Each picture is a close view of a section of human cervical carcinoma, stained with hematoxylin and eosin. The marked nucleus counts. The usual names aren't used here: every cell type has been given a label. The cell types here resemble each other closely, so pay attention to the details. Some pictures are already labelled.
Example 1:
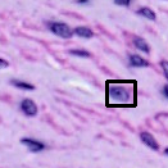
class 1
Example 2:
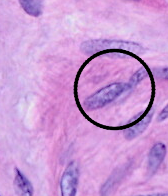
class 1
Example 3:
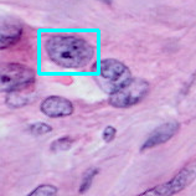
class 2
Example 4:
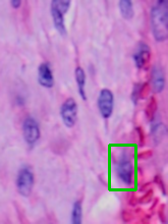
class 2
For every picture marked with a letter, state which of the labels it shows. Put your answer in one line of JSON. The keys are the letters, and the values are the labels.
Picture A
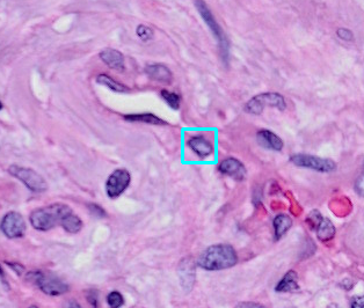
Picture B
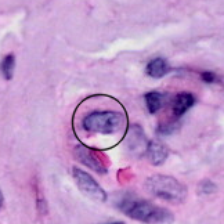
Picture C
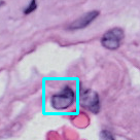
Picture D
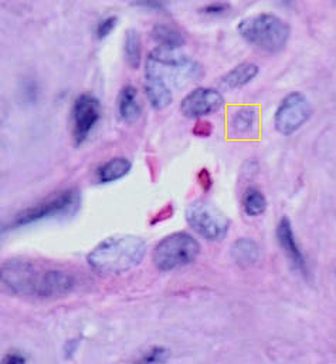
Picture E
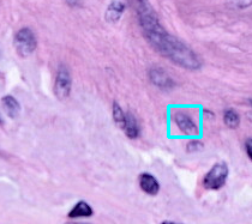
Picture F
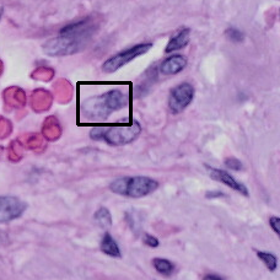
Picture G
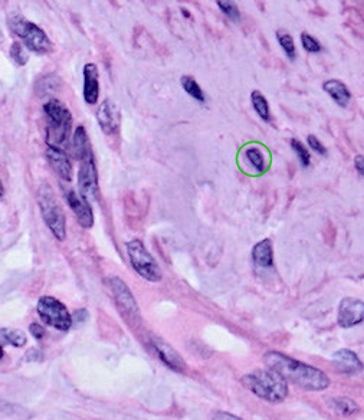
{"A": "class 2", "B": "class 2", "C": "class 2", "D": "class 2", "E": "class 1", "F": "class 2", "G": "class 1"}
